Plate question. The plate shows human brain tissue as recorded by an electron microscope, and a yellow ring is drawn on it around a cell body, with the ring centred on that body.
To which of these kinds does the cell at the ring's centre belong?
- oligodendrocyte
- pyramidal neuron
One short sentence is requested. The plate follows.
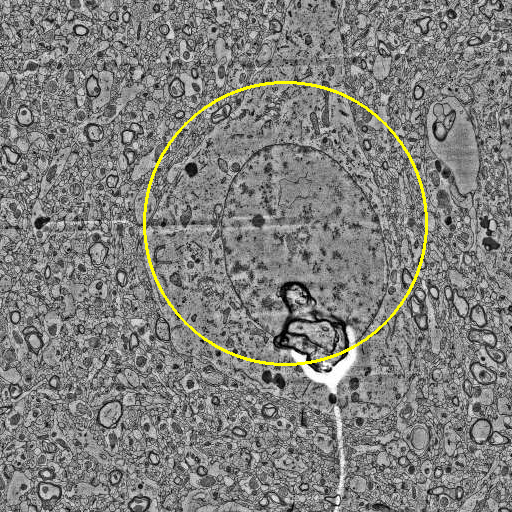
The cell at the ring's centre is a pyramidal neuron.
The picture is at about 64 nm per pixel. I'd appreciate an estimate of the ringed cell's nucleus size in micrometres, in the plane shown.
About 14 by 10 micrometers, in this plane.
